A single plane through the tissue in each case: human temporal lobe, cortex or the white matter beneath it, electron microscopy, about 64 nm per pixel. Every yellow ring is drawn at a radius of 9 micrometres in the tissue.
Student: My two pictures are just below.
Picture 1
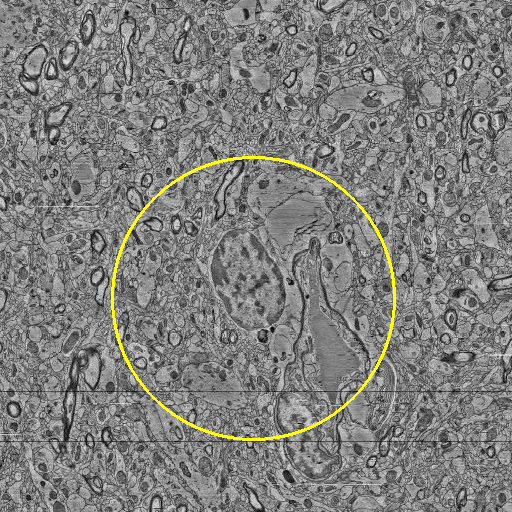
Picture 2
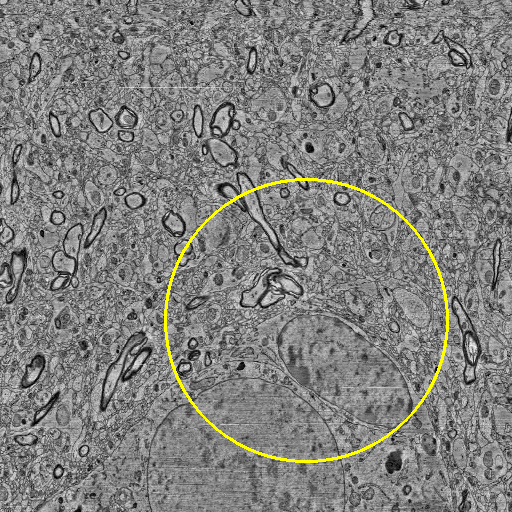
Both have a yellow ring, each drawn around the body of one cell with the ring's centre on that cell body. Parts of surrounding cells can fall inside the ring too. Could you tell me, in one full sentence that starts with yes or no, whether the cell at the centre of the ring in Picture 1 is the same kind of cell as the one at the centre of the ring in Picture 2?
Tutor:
Yes, the two cells are of the same kind.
